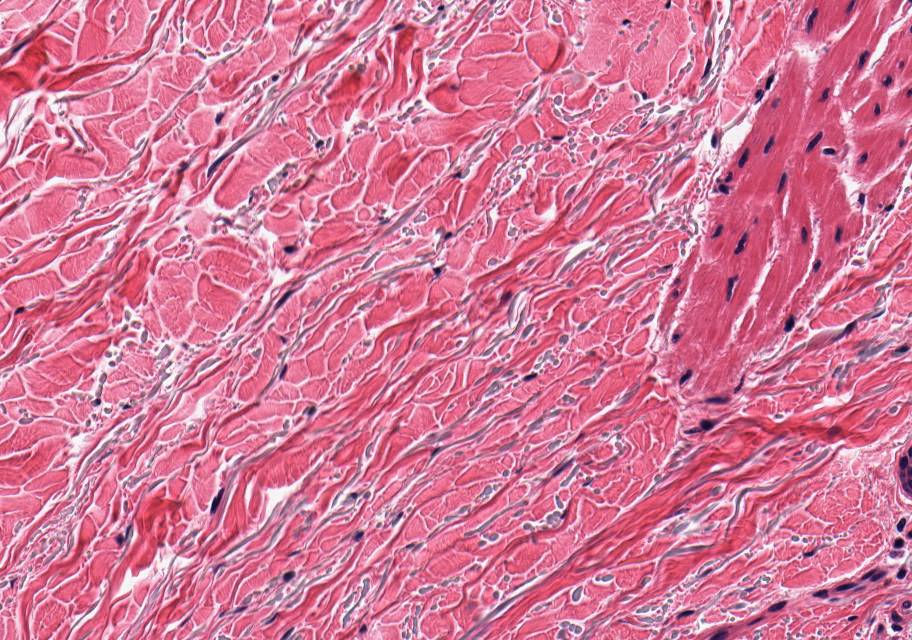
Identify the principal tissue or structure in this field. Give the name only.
dermis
